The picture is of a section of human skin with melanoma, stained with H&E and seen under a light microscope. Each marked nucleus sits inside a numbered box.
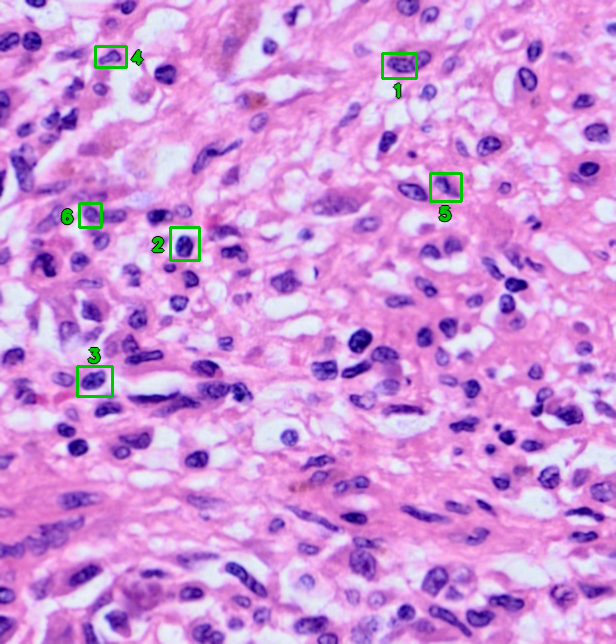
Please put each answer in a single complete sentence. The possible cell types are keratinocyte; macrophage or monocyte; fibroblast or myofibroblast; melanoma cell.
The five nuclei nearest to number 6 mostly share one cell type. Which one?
Around number 6, most of the five nearest nuclei are those of macrophages or monocytes.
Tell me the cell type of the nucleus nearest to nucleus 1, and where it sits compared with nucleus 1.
It is a macrophage or monocyte, whose nucleus lies to the right of nucleus 1.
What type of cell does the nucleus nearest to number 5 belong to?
The nucleus nearest to number 5 is that of a macrophage or monocyte.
